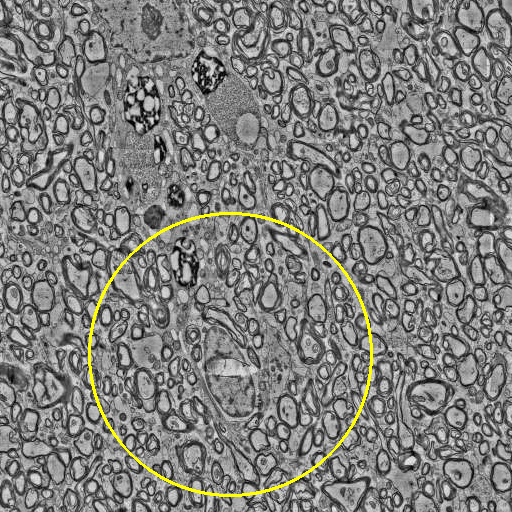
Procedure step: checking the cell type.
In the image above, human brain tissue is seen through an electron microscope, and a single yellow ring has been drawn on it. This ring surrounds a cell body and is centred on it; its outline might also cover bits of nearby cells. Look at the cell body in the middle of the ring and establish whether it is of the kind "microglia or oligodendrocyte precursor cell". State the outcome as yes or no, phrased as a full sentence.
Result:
Yes, the cell body at the ring's centre in the image is of the kind in question.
